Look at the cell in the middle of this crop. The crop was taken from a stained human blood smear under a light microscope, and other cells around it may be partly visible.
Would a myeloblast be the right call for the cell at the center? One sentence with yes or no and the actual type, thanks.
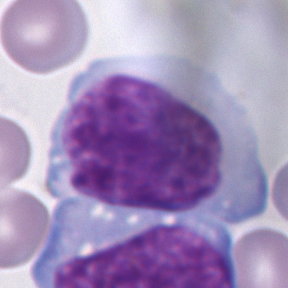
Yes, the middle cell in this crop is a myeloblast.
